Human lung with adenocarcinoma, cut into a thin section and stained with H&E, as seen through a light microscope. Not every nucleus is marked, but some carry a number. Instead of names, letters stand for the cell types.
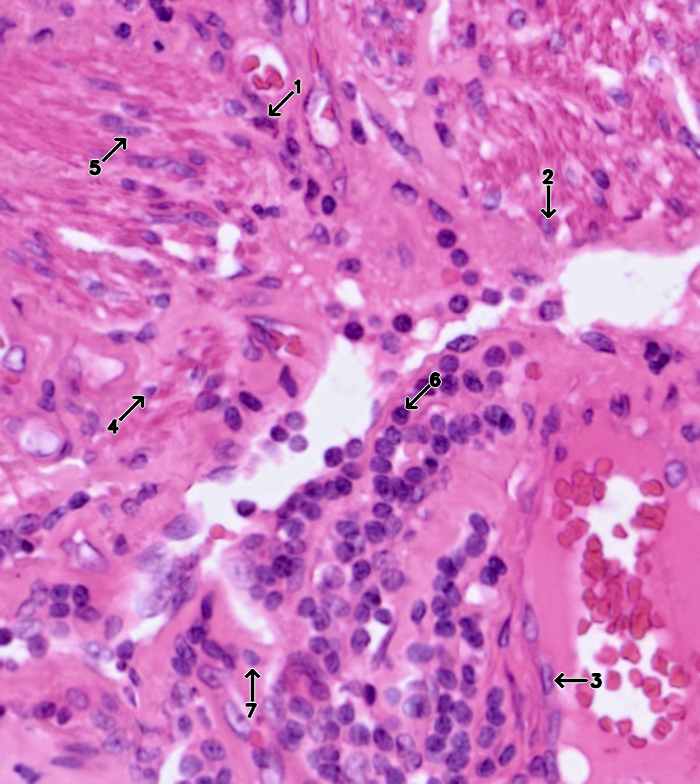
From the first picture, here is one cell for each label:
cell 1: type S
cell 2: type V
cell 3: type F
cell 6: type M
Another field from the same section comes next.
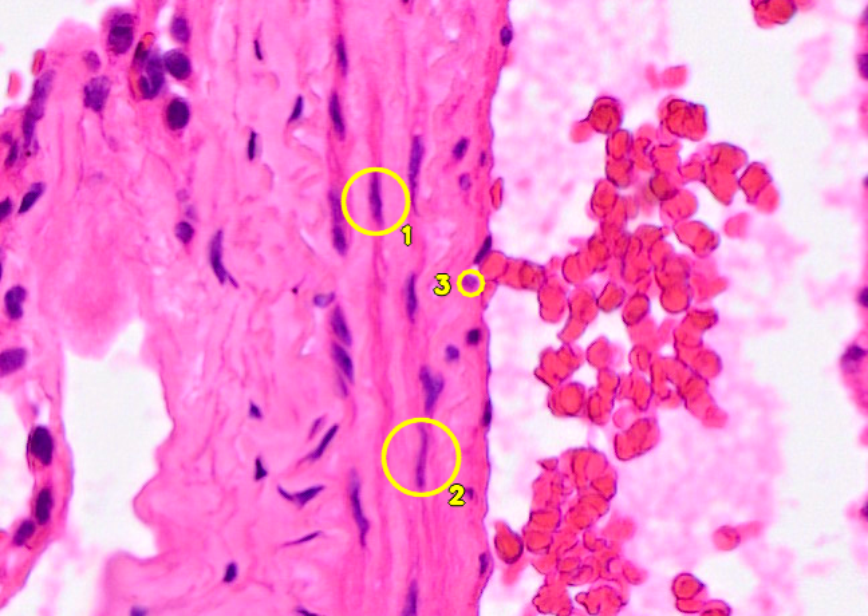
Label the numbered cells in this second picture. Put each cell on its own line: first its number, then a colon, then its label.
1: type V
2: type V
3: type F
